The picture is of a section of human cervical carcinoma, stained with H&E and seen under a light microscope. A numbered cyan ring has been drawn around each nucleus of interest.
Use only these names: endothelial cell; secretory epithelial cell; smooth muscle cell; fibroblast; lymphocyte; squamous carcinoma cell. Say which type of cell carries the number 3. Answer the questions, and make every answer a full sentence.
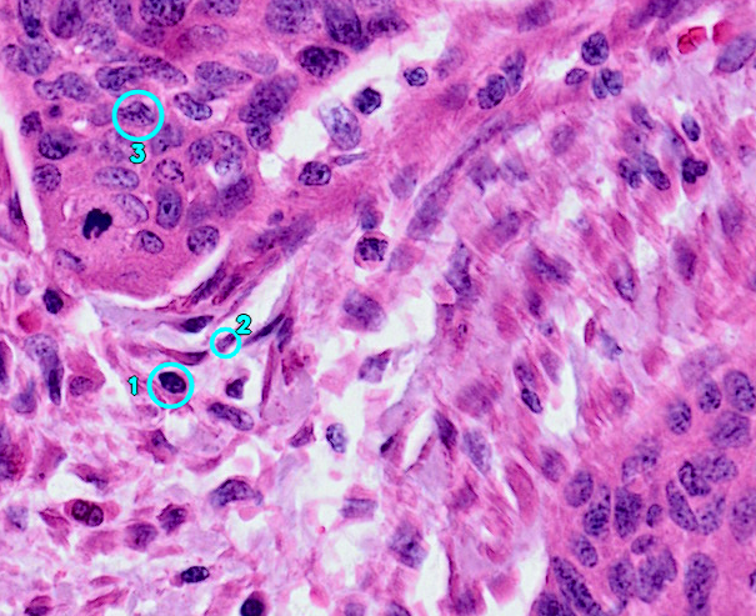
Nucleus 3 in this section belongs to a squamous carcinoma cell.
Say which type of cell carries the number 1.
As for number 1, that cell is a lymphocyte.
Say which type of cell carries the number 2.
What the number 2 marks in this field is a fibroblast.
